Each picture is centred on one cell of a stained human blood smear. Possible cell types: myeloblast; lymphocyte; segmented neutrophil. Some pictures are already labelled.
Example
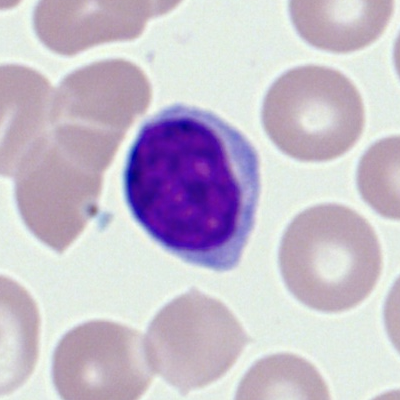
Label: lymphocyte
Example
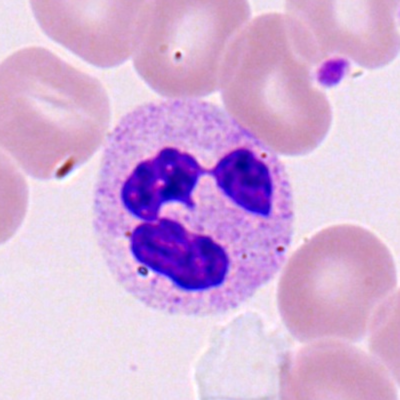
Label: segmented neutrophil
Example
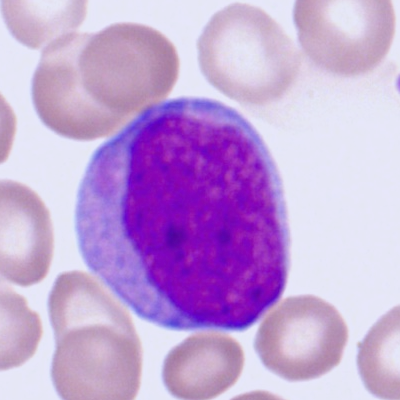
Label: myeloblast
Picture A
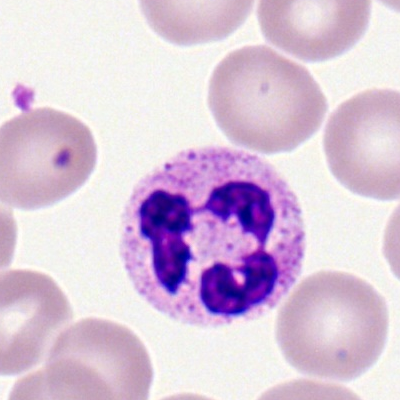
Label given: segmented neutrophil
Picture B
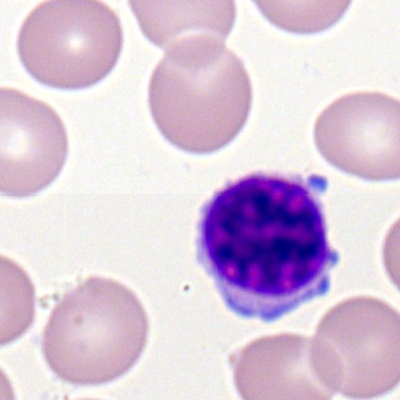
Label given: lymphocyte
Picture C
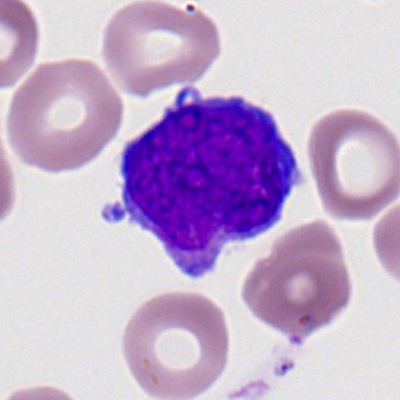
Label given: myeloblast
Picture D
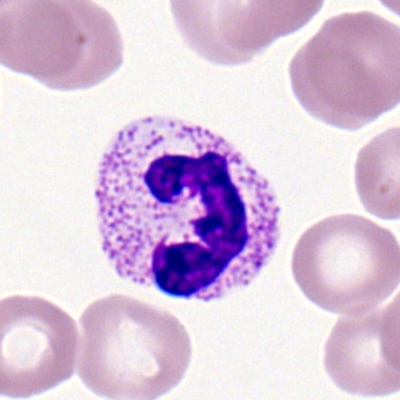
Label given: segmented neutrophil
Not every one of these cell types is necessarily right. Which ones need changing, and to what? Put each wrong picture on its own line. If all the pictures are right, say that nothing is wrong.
Nothing to fix; every label fits.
